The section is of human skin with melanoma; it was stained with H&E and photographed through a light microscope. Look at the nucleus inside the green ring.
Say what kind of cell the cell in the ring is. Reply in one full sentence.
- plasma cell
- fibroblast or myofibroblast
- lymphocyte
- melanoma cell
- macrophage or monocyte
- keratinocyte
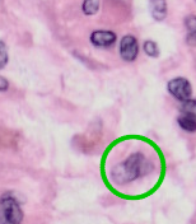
Cell type answer for this item: the cell in the ring is a macrophage or monocyte.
